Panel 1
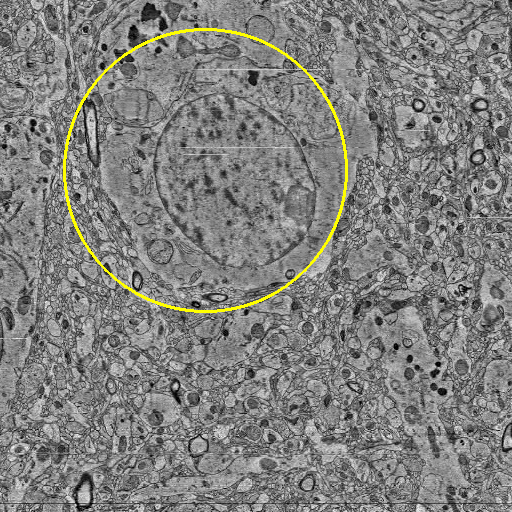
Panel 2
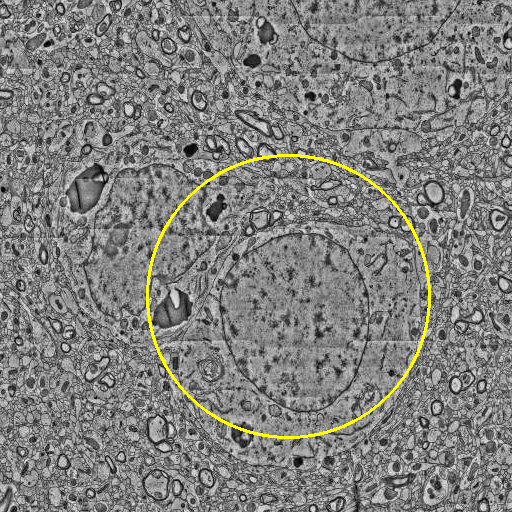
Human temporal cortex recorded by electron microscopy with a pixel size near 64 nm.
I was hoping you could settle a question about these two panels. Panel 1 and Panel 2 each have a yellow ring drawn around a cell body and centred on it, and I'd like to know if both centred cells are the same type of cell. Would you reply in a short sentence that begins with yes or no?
No, they are two types of cell.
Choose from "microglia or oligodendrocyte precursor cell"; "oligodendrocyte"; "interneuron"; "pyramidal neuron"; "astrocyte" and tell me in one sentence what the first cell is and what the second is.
What the first ring is centred on is an astrocyte; what the second ring is centred on is a pyramidal neuron.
